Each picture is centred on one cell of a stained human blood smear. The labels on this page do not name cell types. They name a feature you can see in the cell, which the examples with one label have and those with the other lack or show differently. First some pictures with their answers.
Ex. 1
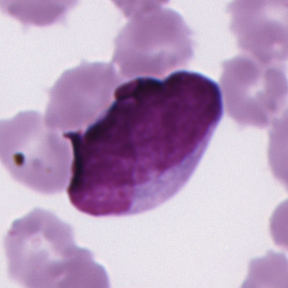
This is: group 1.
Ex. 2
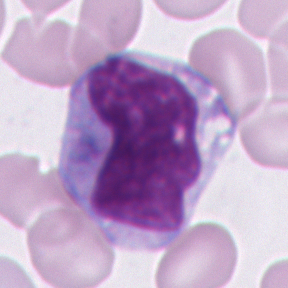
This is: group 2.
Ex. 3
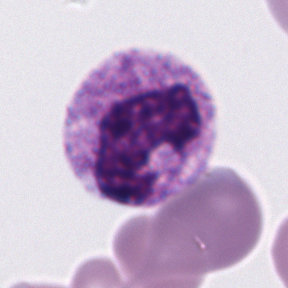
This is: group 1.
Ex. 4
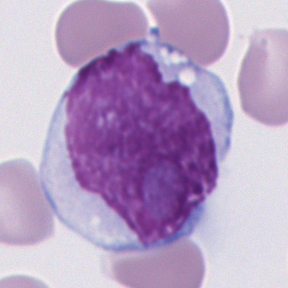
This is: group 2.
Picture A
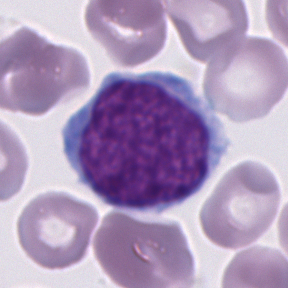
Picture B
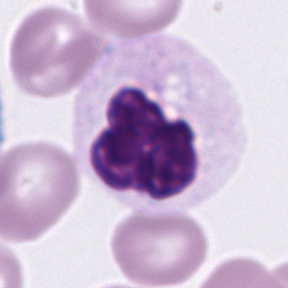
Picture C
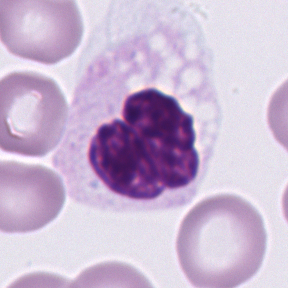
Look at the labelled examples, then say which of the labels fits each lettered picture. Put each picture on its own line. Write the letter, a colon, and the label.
A: group 1.
B: group 2.
C: group 2.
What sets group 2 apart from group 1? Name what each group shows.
In group 2: vacuoles present. In group 1: no vacuoles.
